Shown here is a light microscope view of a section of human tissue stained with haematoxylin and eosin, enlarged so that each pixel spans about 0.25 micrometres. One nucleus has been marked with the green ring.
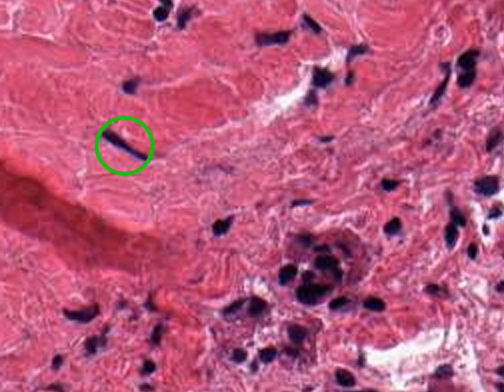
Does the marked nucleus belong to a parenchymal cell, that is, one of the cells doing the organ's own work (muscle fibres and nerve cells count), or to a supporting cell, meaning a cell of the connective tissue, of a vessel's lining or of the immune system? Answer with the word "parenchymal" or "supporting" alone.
supporting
